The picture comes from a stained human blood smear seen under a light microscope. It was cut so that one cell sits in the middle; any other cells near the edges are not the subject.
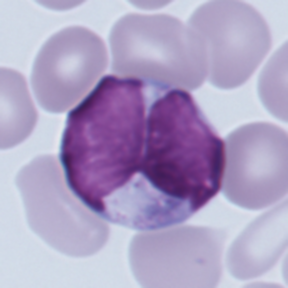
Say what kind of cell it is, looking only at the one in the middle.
large granular lymphocyte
